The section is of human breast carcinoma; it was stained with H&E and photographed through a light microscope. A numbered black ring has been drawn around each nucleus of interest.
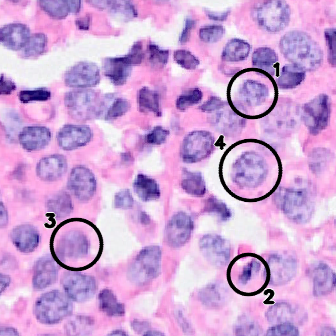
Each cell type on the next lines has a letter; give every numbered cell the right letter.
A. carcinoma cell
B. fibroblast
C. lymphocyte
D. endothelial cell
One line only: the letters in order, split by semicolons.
A; D; A; A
